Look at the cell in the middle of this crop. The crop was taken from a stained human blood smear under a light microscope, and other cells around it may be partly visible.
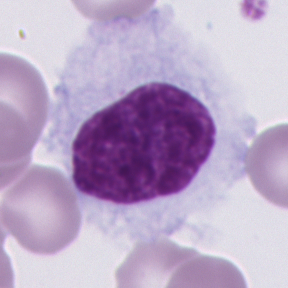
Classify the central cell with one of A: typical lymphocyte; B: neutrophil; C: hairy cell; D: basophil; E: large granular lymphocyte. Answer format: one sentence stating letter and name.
Option C holds up: the cell in the middle is a hairy cell.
